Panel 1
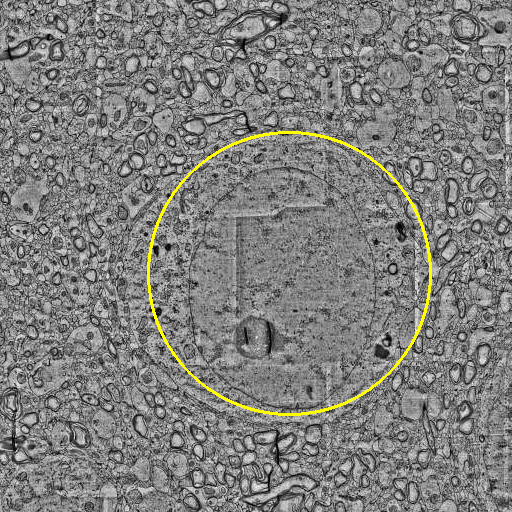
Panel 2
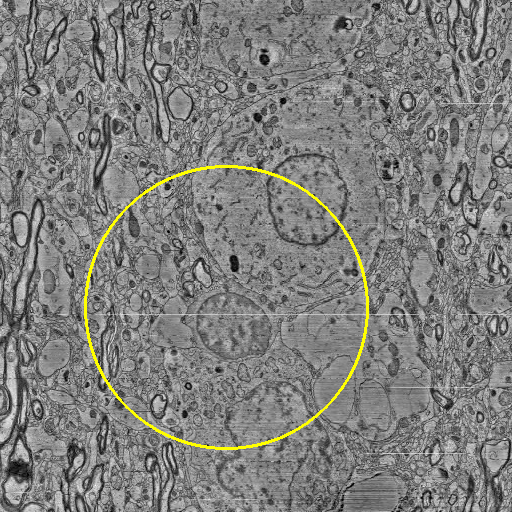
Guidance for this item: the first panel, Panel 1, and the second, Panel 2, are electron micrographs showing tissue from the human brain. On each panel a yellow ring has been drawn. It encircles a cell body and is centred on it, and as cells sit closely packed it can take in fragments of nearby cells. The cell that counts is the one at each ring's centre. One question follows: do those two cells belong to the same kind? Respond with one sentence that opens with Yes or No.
No, the cells at the ring centres in Panel 1 and Panel 2 are of two kinds.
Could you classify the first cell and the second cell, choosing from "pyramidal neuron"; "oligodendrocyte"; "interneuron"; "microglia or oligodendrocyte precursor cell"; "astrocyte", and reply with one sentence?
The second cell is an oligodendrocyte, while the first is a pyramidal neuron.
